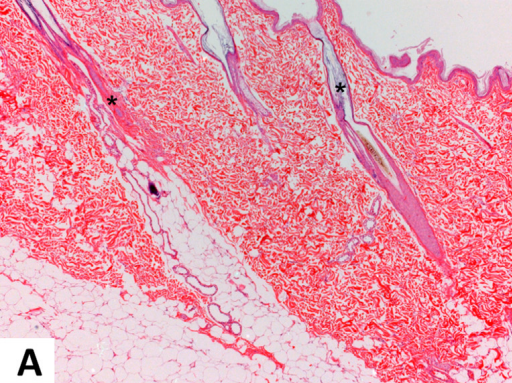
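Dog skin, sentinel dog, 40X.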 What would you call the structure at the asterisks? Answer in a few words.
Hair follicles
